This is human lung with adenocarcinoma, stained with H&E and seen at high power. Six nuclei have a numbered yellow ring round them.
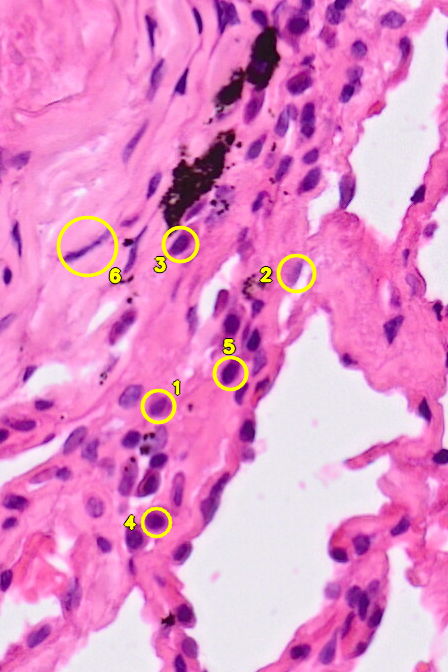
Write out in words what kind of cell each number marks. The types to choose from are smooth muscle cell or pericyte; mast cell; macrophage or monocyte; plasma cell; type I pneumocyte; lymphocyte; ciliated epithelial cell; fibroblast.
Cells 1, 3, 4 and 5 are plasma cells. Cells 2 and 6 are fibroblasts.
